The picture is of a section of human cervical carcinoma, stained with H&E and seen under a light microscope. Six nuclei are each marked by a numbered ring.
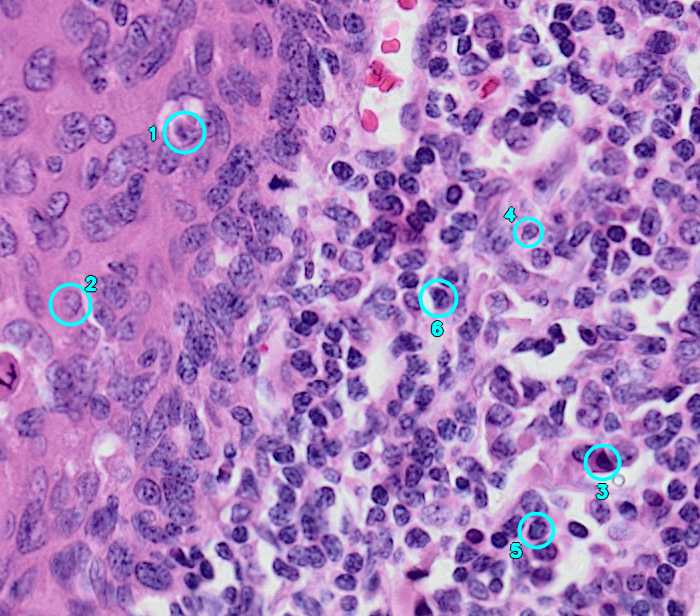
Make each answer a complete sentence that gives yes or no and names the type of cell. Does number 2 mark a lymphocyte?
No, the right label for cell 2 is a squamous carcinoma cell rather than a lymphocyte.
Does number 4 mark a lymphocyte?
Yes, regarding number 4, the cell is a lymphocyte.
